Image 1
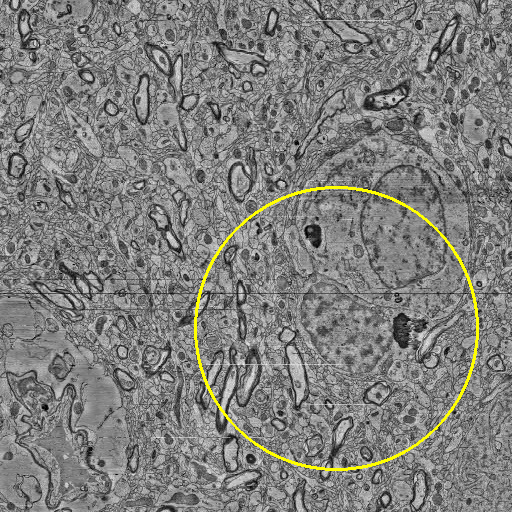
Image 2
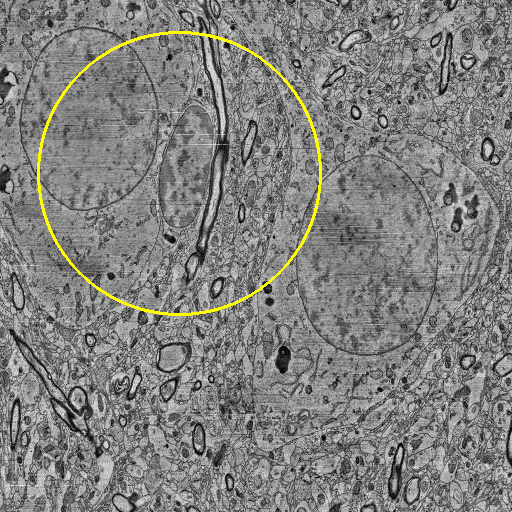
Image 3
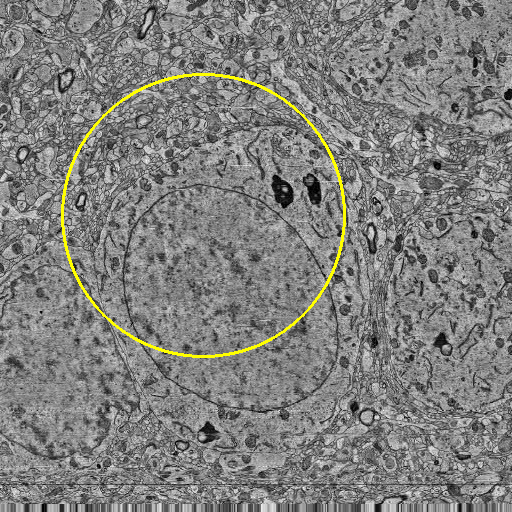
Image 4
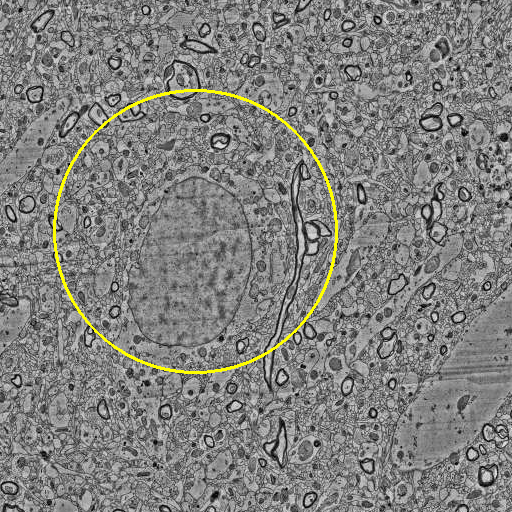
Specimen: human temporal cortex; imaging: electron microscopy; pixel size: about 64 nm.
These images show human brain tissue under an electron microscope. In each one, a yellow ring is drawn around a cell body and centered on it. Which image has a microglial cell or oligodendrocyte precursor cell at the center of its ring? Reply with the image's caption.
Image 2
